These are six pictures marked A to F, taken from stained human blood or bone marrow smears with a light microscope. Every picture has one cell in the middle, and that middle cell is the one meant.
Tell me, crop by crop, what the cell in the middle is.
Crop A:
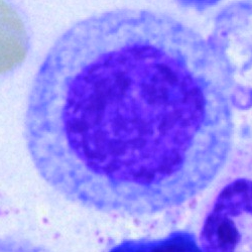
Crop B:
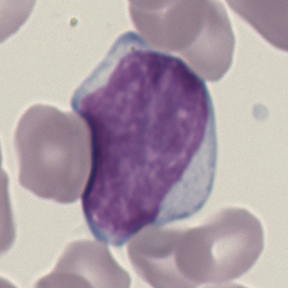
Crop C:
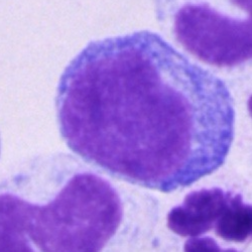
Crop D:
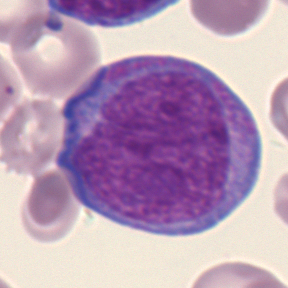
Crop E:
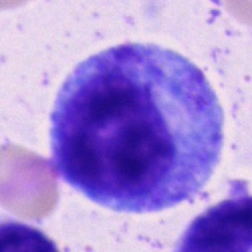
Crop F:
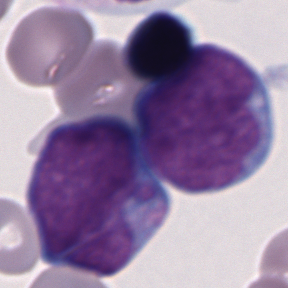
A: promyelocyte
B: blast
C: blast
D: promyelocyte
E: promyelocyte
F: blast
